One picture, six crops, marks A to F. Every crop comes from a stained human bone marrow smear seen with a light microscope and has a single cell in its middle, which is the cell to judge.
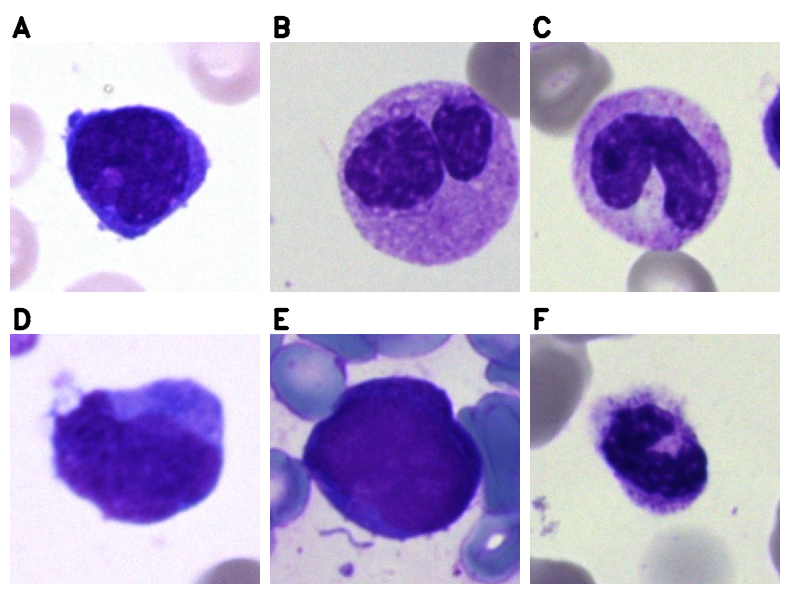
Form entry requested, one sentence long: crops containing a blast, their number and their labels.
It is in crops A, D and E that blasts are shown, three crops in all.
